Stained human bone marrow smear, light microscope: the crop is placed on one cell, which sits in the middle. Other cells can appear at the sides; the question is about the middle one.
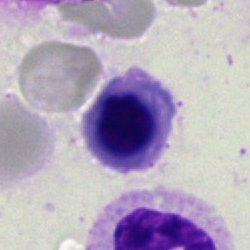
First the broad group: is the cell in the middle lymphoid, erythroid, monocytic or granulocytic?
erythroid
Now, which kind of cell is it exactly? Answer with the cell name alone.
erythroblast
